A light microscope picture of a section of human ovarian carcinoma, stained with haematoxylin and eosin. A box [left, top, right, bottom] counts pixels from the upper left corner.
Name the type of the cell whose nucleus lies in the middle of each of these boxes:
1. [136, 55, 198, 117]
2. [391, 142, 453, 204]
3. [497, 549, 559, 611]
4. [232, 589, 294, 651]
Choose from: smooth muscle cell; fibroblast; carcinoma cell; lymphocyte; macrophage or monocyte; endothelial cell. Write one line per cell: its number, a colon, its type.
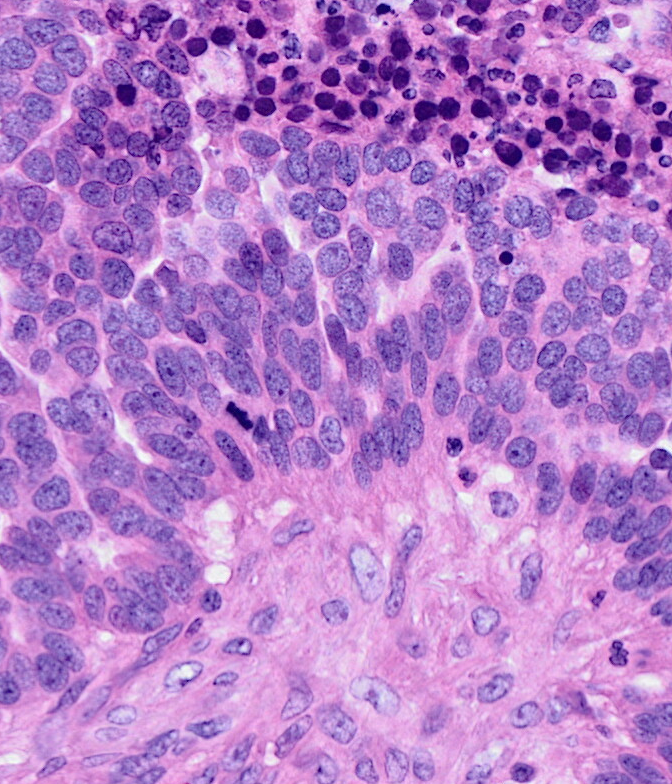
1: carcinoma cell
2: carcinoma cell
3: fibroblast
4: fibroblast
